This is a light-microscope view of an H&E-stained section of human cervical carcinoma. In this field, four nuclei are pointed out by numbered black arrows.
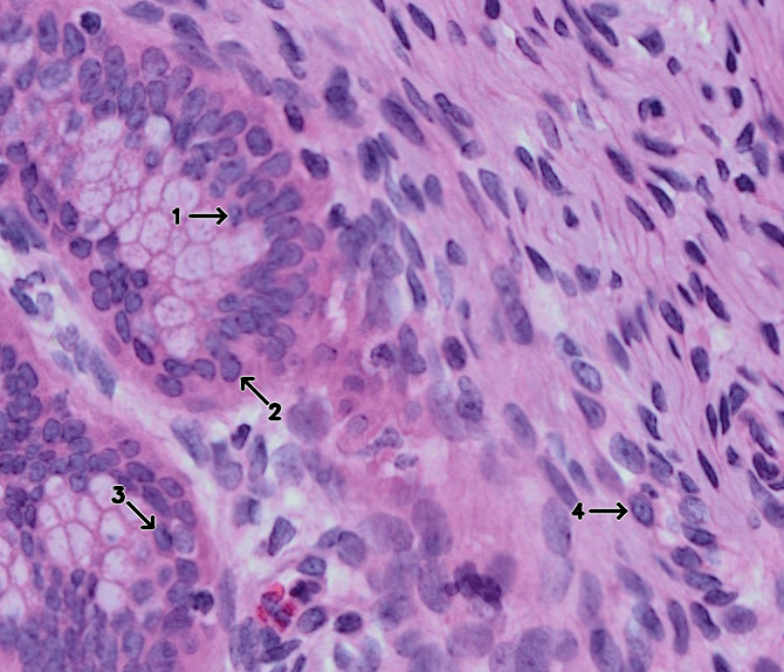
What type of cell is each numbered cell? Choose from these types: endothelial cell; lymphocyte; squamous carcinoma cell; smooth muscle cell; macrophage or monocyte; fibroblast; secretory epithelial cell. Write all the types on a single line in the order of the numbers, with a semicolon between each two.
secretory epithelial cell; secretory epithelial cell; secretory epithelial cell; endothelial cell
